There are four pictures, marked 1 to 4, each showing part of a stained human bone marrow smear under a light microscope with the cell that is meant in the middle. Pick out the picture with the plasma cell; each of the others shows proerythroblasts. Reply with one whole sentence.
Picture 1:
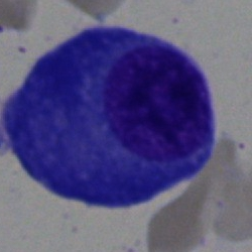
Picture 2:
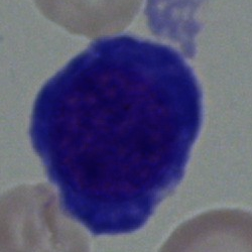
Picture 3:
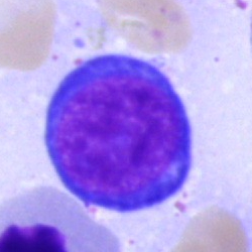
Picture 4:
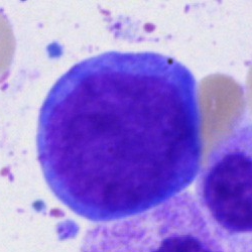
Picture 1 is the one that shows the plasma cell.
